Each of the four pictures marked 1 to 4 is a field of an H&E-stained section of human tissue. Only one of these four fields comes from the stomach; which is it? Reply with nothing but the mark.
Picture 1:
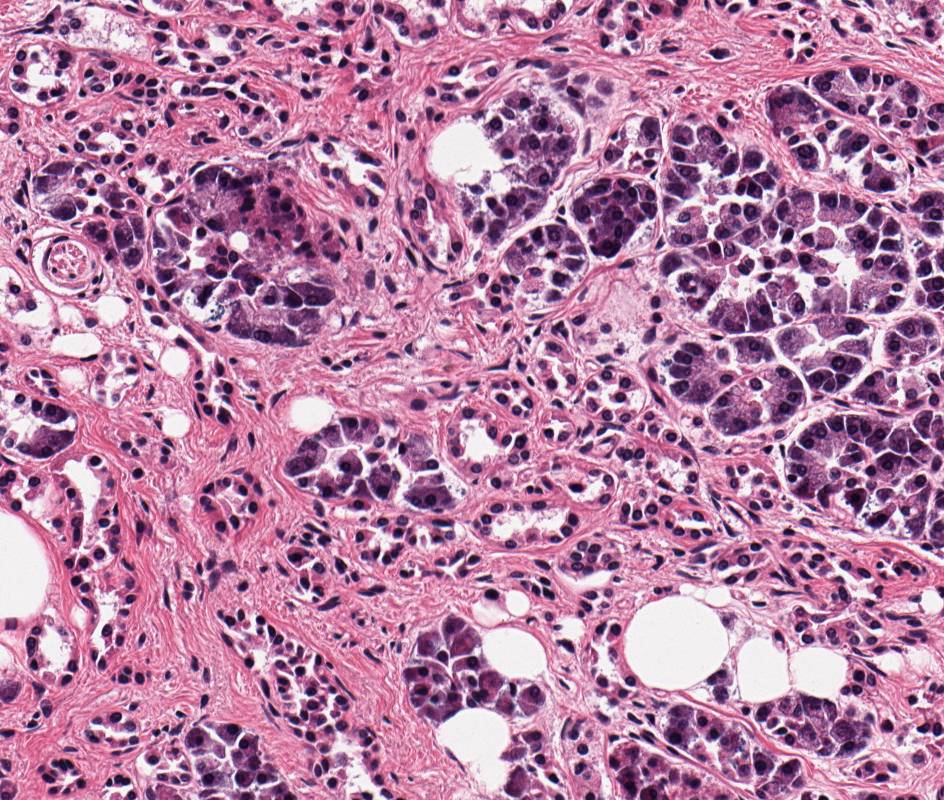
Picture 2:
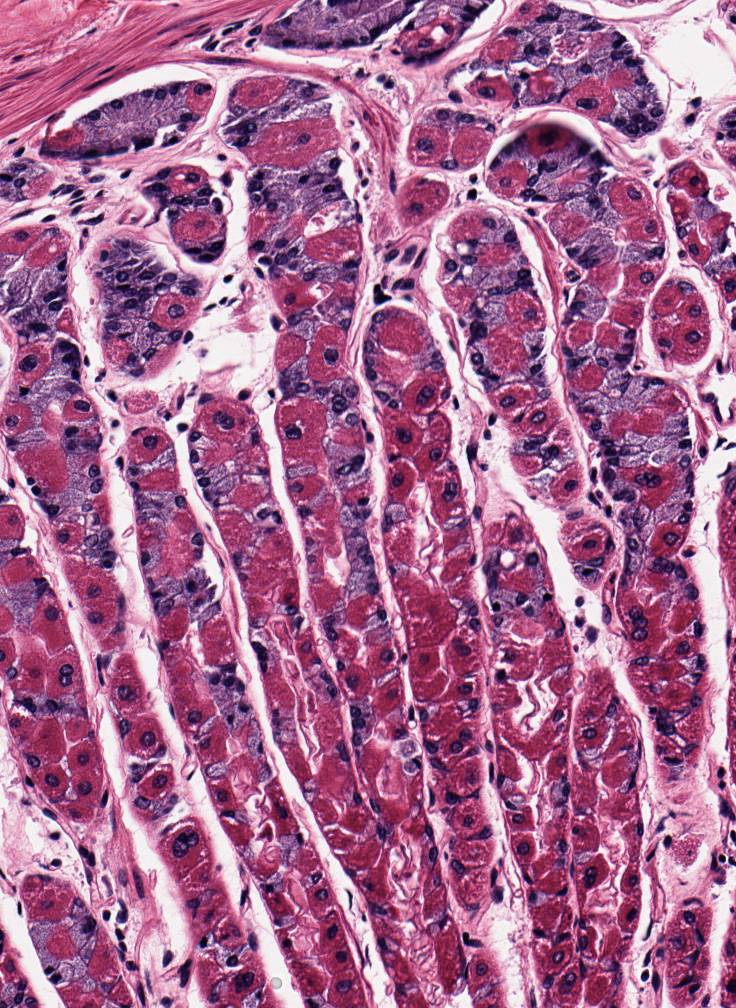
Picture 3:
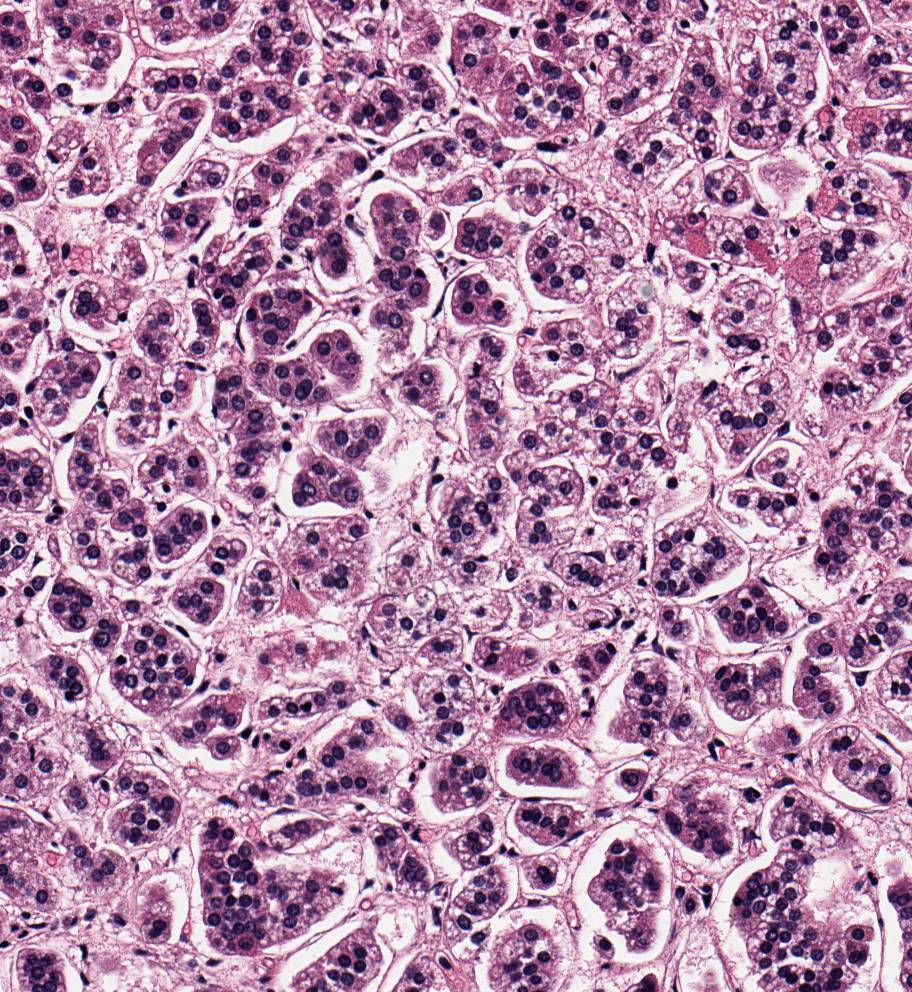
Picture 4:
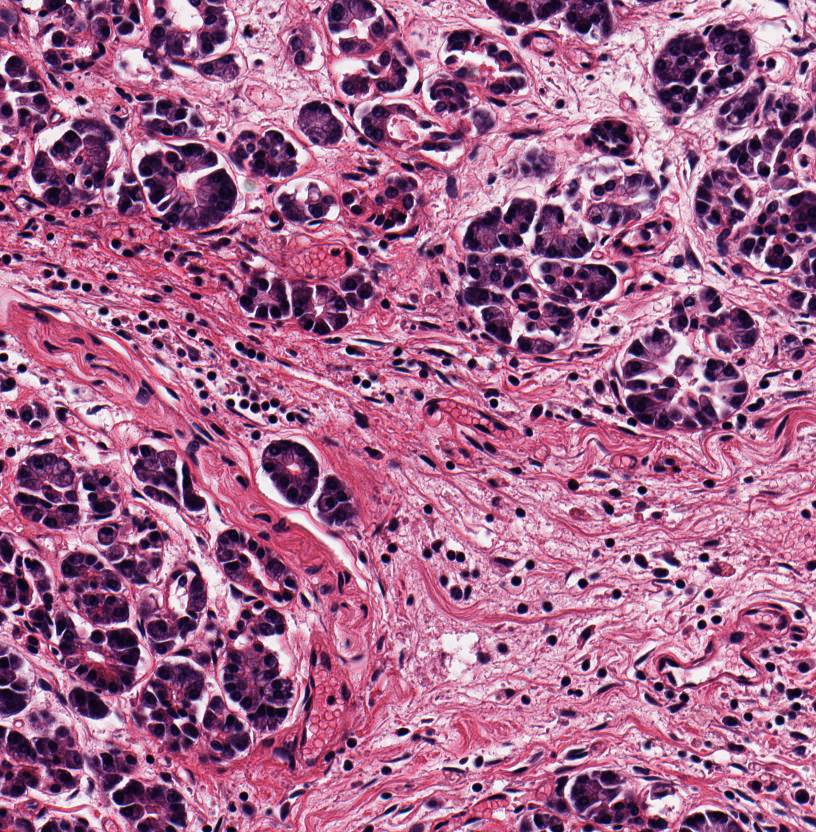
2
